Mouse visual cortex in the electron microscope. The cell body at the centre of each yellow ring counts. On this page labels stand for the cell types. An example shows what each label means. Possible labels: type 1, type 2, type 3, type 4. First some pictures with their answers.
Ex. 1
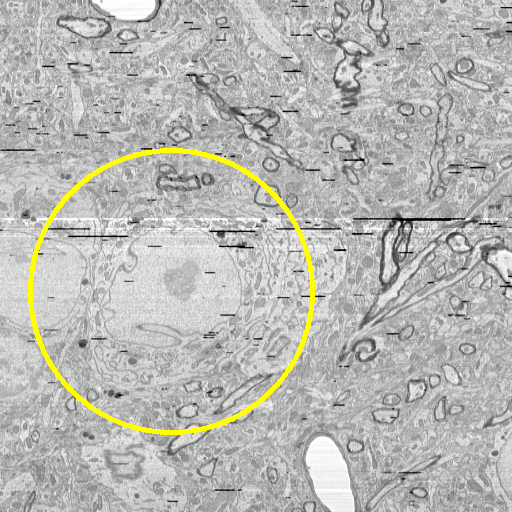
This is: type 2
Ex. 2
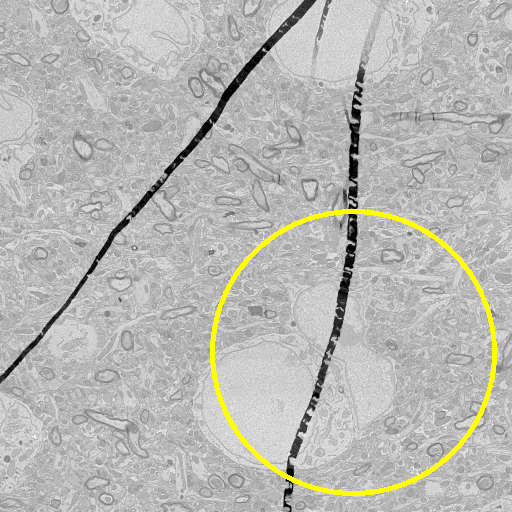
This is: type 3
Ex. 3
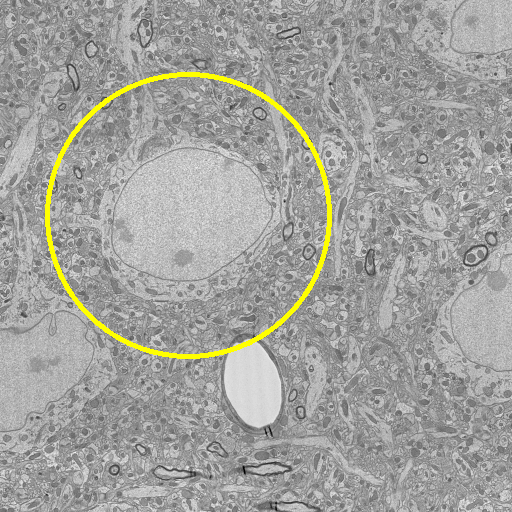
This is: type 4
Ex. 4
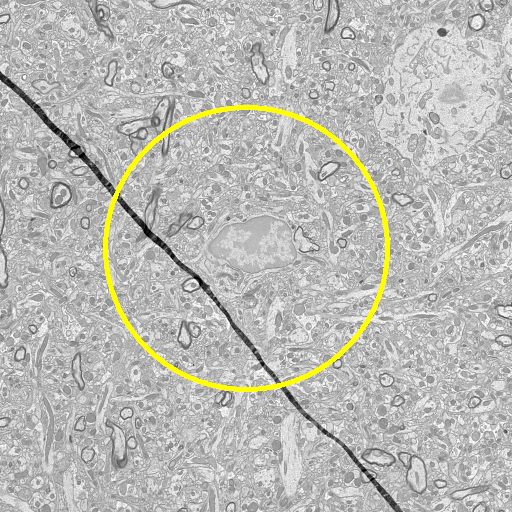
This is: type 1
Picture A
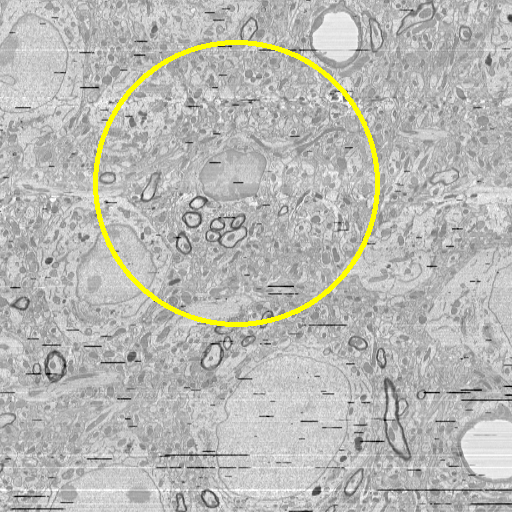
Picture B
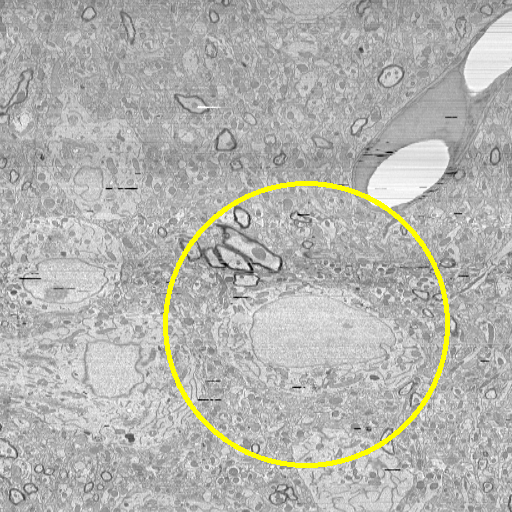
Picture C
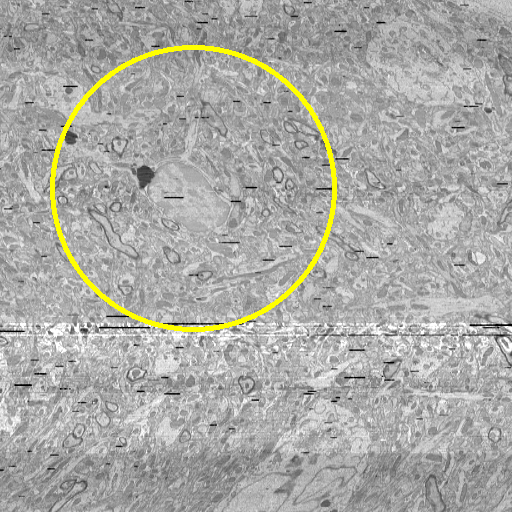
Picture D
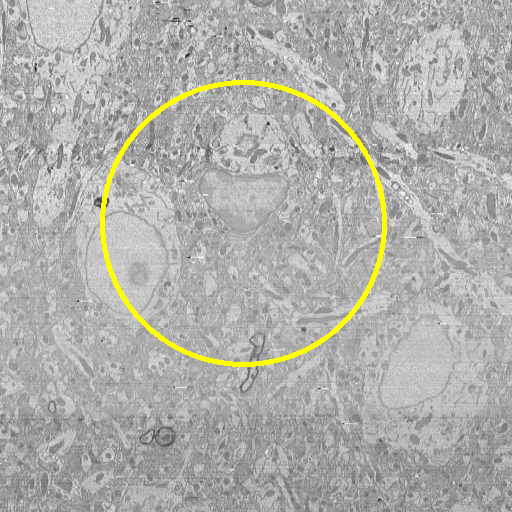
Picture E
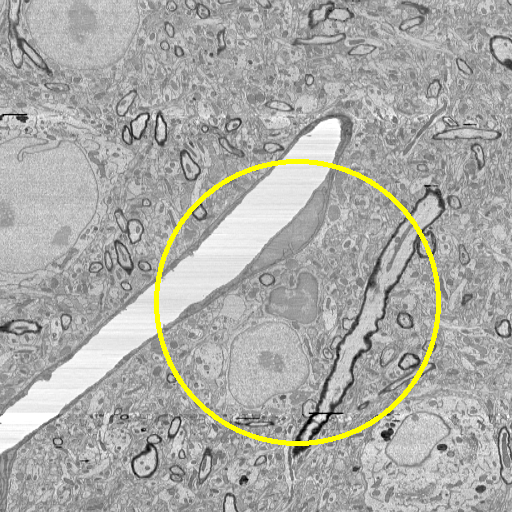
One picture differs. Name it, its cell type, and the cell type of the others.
Picture B: type 2. All others: type 1.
